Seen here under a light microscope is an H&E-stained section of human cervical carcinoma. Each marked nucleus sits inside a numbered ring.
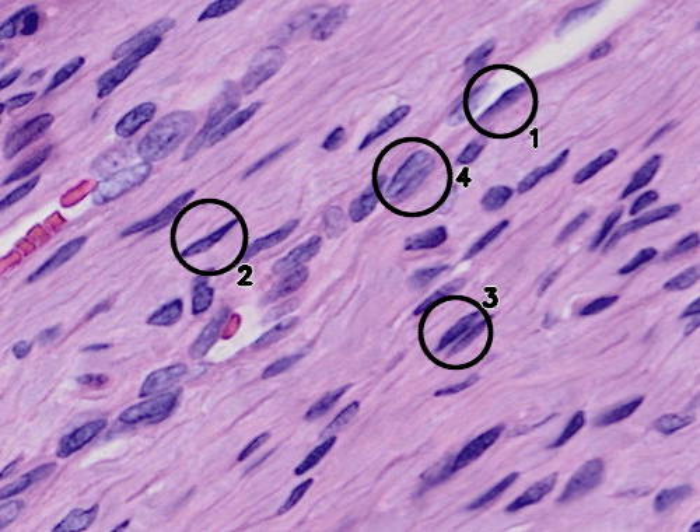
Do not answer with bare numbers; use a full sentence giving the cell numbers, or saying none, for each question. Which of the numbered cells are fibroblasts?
The cells with the number labels 2 and 3 are fibroblasts.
